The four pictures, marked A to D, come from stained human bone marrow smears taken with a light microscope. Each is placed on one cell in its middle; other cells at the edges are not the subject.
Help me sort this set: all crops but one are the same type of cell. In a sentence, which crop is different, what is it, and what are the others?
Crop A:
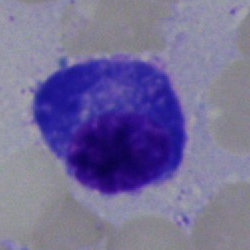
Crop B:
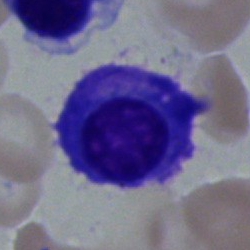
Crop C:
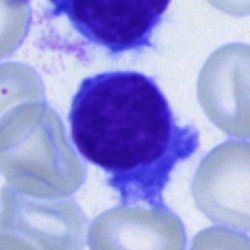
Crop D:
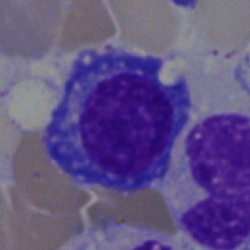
Differing from the rest, crop C shows a lymphocyte; the others all show plasma cells.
